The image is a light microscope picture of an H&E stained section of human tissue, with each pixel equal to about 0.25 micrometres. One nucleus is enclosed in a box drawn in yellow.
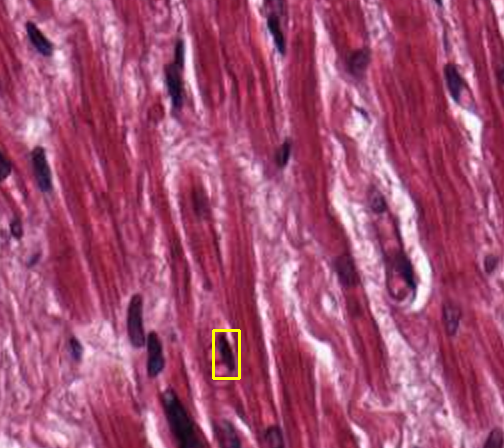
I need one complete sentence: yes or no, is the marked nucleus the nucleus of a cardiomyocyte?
No, the marked nucleus does not come from a cardiomyocyte but from a supporting cell.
